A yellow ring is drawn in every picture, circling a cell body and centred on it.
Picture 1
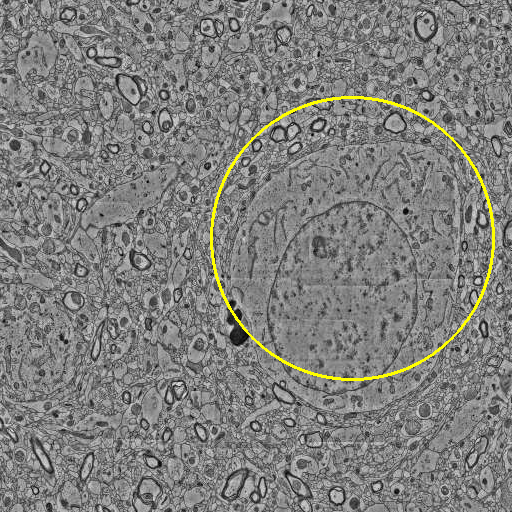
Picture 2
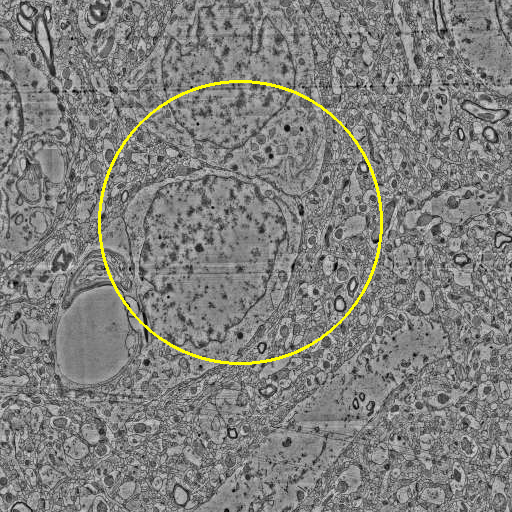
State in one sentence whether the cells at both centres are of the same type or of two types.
The cells at the two ring centres, one per picture, are of two types.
